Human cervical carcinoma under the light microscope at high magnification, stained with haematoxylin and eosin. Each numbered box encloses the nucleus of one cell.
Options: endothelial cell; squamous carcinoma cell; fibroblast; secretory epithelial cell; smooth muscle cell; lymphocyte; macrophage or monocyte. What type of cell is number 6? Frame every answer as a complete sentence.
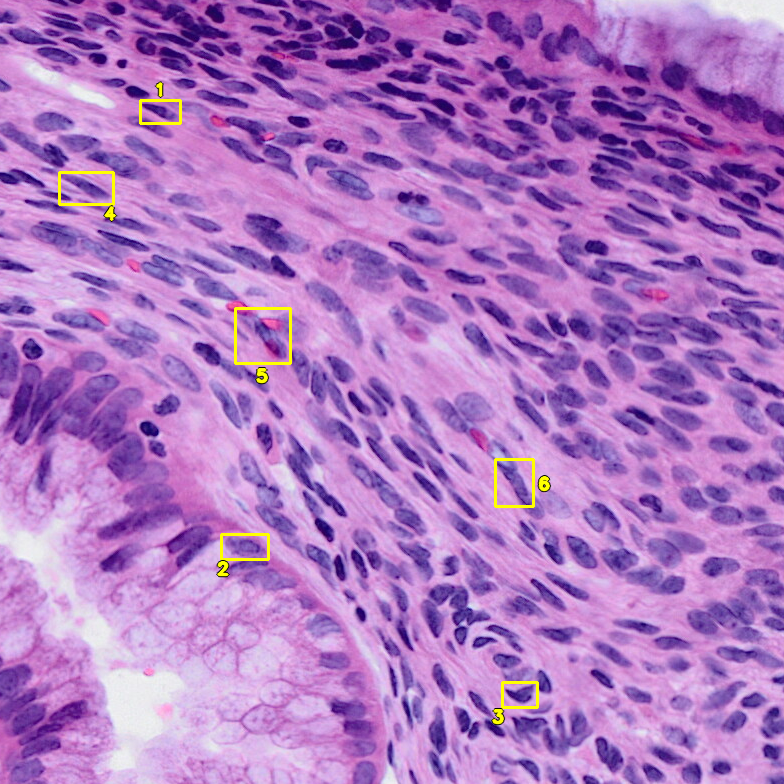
The cell bearing label 6 corresponds to an endothelial cell.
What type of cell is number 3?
Nucleus 3 in this section belongs to a fibroblast.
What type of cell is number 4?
The nucleus with number 4 is that of a fibroblast.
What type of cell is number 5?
Looking at the numbered marks, cell 5 is an endothelial cell.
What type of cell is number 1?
Denoted by the label 1 in the section is a fibroblast.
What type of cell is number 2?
The cell given label 2 is a secretory epithelial cell.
